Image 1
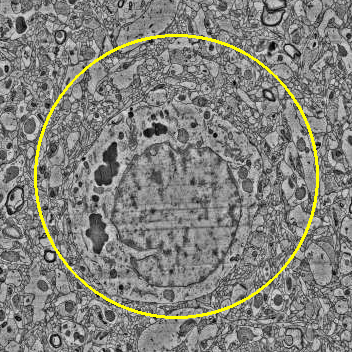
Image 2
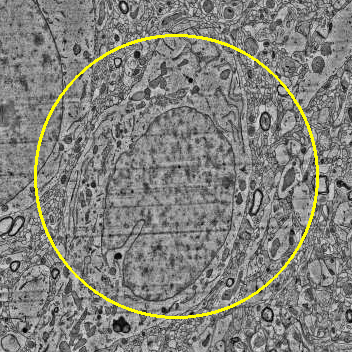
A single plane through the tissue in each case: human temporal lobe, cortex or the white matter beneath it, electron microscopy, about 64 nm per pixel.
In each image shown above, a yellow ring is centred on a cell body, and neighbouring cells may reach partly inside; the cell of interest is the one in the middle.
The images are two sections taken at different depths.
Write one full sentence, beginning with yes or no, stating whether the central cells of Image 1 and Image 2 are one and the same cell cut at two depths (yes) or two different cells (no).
No, these yellow rings each mark a separate cell.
